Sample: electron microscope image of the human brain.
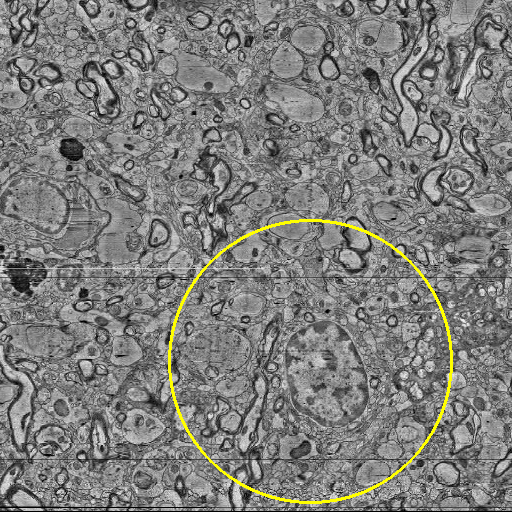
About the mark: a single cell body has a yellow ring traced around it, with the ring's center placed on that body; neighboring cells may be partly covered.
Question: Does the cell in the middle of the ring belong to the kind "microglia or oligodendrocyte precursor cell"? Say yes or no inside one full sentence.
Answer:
Yes, the cell at the ring's center in this image belongs to that kind.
